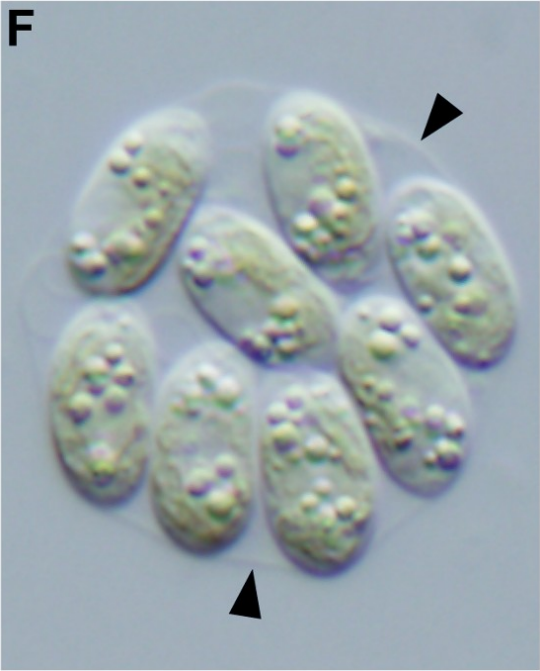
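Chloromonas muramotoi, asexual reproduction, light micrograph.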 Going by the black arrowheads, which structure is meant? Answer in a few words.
parental cell wall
